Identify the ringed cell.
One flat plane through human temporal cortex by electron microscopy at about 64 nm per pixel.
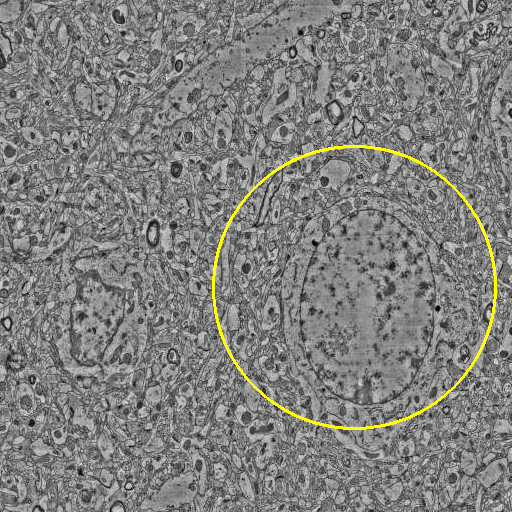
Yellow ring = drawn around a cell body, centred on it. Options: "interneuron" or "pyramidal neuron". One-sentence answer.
What the ring is centred on is a pyramidal neuron.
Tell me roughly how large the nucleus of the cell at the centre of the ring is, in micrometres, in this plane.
About 13 by 9 micrometers for the nucleus, in this plane.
